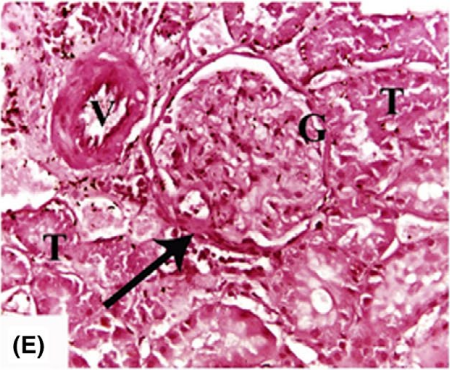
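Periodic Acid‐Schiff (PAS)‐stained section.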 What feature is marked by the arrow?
Bowman's capsule.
